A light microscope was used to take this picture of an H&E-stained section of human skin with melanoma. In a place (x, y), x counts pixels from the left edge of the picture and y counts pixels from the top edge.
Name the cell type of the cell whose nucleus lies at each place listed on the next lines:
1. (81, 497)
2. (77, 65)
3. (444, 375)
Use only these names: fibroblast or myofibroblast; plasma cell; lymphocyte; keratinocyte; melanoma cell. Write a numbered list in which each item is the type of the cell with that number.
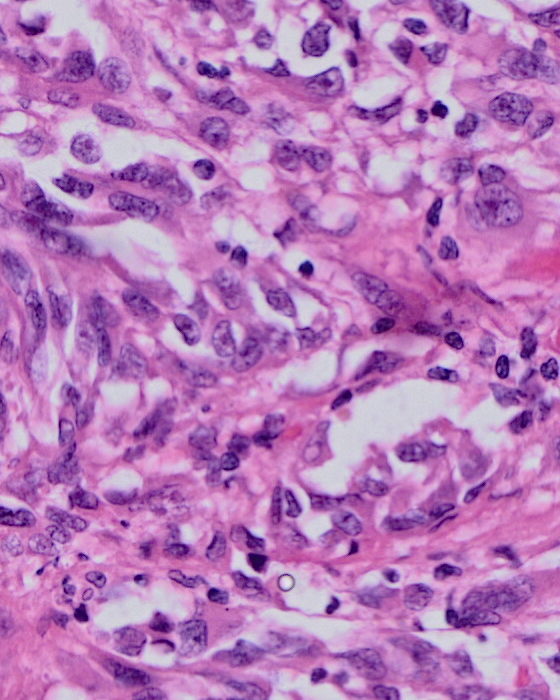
1. melanoma cell
2. melanoma cell
3. lymphocyte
